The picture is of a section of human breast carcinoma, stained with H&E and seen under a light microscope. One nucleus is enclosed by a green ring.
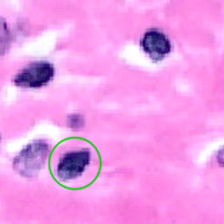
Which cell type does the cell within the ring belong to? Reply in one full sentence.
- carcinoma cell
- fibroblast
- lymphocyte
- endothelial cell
In this tissue section, the cell within the ring is to be classed as a lymphocyte.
